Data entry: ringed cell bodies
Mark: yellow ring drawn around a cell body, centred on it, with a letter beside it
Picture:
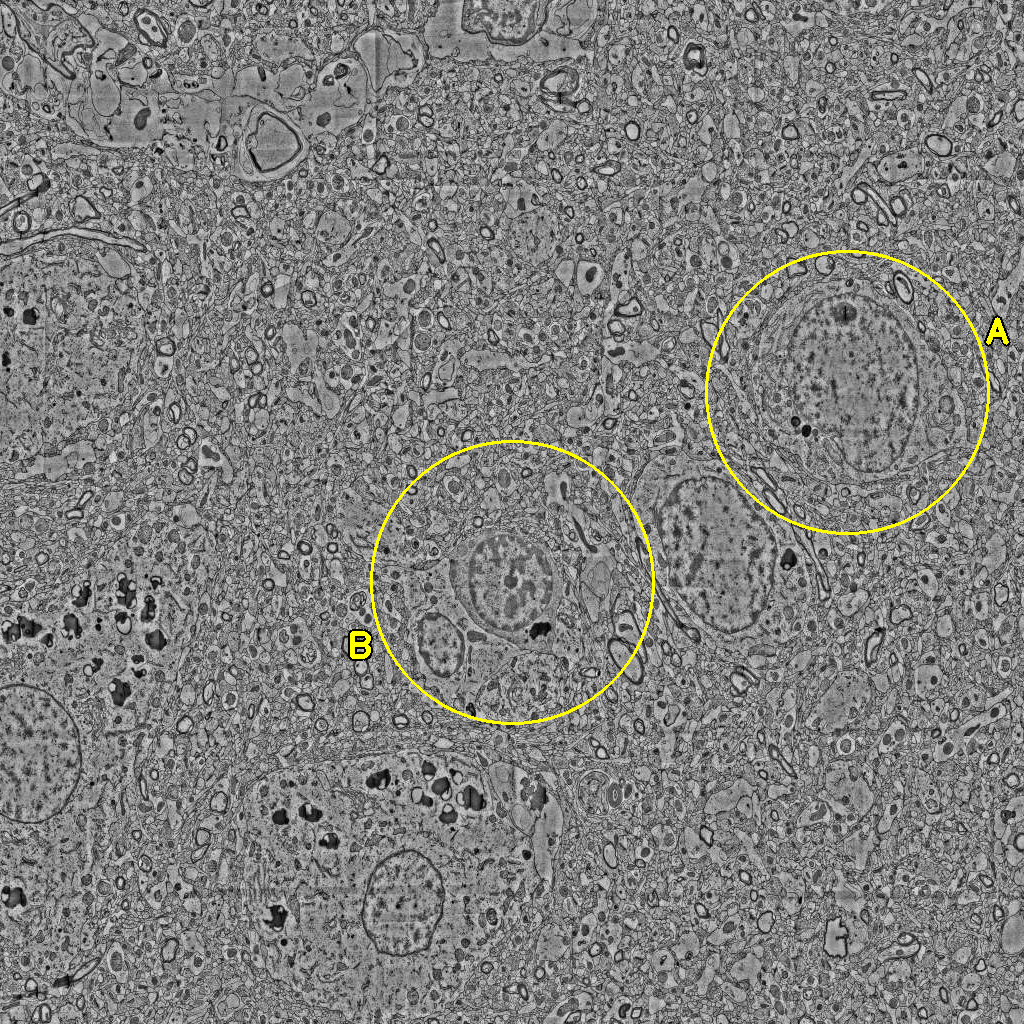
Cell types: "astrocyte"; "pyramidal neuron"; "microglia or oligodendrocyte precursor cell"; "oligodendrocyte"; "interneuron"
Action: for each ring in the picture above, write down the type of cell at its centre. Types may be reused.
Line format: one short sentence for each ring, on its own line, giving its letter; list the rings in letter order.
For ring A, the cell at the centre is an interneuron.
For ring B, the cell at the centre is an oligodendrocyte.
